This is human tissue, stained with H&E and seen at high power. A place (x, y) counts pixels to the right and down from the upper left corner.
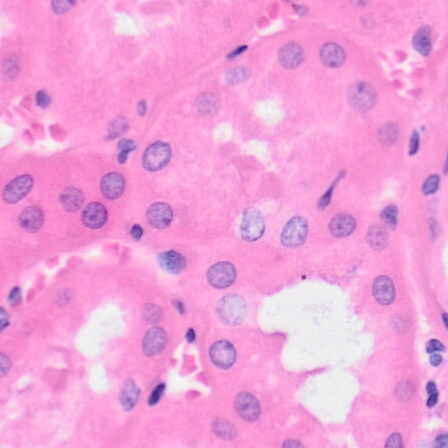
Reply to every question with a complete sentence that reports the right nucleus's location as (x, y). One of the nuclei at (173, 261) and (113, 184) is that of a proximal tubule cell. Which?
The nucleus at (113, 184), rather than the other, belongs to a proximal tubule cell.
